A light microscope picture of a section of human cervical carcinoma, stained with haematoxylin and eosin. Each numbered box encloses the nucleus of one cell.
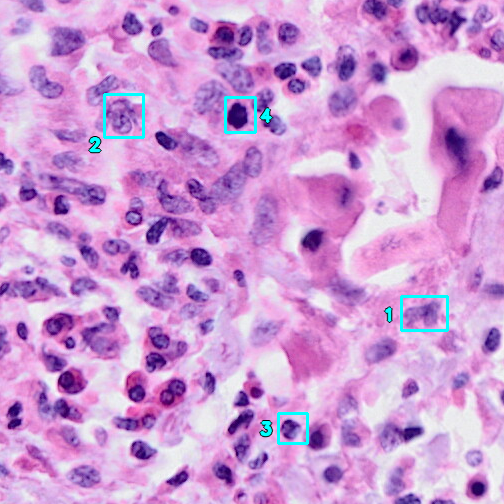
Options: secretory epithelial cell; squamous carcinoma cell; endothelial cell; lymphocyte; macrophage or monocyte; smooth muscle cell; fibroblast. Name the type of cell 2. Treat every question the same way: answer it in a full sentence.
The cell tagged with 2 in this tissue section is a macrophage or monocyte.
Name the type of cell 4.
In the tissue shown, cell 4 is a lymphocyte.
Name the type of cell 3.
At number 3, the marked cell is a lymphocyte.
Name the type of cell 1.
The label 1 in this section denotes a macrophage or monocyte.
